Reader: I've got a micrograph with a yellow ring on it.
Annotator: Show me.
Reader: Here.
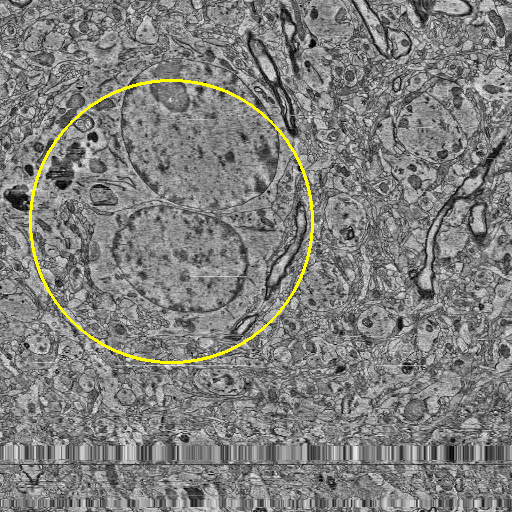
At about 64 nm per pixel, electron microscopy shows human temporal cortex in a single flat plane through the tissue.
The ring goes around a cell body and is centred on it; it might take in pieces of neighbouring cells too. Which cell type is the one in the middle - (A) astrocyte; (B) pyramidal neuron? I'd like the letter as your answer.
A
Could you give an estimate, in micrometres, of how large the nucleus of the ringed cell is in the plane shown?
In this plane, the nucleus of the cell at the centre of the ring measures about 9 by 7 micrometres.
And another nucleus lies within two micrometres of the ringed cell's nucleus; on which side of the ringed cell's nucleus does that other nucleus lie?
That nucleus lies above it.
